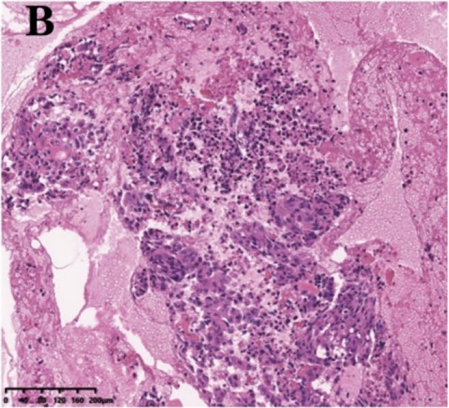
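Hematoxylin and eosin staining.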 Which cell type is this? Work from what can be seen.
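Nests of large polygonal cells with pink cytoplasm. Cell nests are separated by pale stroma.
Conclusion: tumor cells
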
